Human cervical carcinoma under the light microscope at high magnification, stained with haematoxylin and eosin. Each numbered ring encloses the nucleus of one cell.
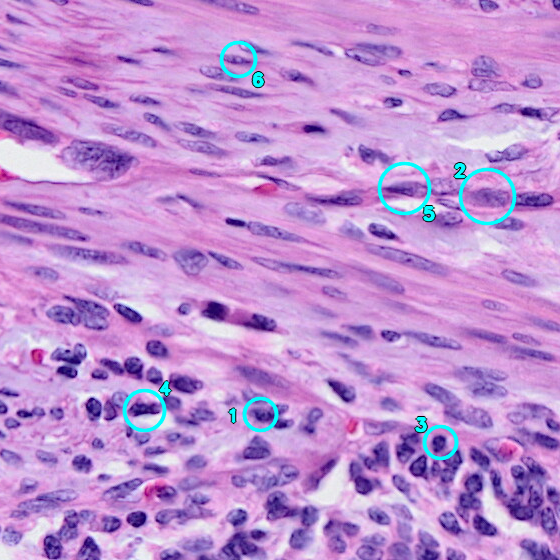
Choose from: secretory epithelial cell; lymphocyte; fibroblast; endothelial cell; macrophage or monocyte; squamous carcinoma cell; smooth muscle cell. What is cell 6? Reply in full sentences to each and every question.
Cell number 6 in this section is a smooth muscle cell.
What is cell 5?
The cell numbered 5 has been identified as an endothelial cell.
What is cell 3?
The cell given label 3 is a lymphocyte.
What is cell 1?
The cell identified by the number 1 is a lymphocyte.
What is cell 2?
Cell 2, among those numbered, is an endothelial cell.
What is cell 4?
In this section, the cell tagged 4 is a lymphocyte.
